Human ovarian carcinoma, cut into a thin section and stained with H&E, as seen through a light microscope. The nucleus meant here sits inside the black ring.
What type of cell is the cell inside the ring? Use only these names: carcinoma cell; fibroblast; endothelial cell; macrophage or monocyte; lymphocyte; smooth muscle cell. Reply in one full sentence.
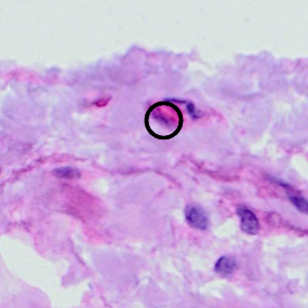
As far as its identity is concerned, the cell inside the ring is an endothelial cell.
